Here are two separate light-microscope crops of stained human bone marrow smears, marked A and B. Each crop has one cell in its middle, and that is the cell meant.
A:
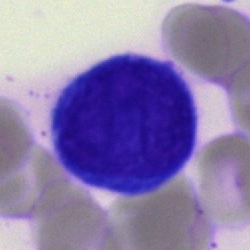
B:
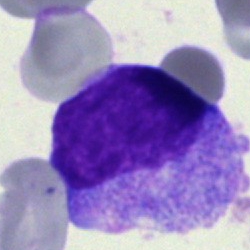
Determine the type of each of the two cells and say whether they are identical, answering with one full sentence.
Yes, both crops show blasts, with no exception.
